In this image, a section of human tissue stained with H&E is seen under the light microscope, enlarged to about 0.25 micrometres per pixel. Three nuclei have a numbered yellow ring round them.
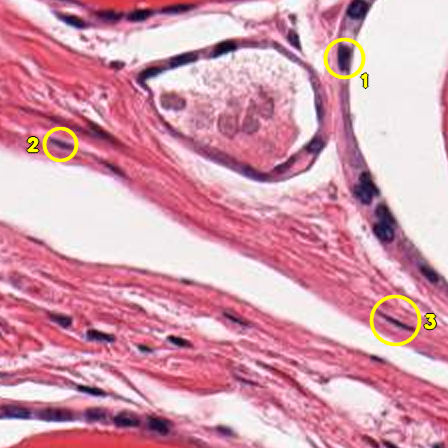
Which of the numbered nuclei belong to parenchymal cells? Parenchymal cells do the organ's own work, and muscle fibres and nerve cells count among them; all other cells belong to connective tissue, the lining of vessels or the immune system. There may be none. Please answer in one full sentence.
The numbered nucleus that belongs to a parenchymal cell is nucleus 1, and no other.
